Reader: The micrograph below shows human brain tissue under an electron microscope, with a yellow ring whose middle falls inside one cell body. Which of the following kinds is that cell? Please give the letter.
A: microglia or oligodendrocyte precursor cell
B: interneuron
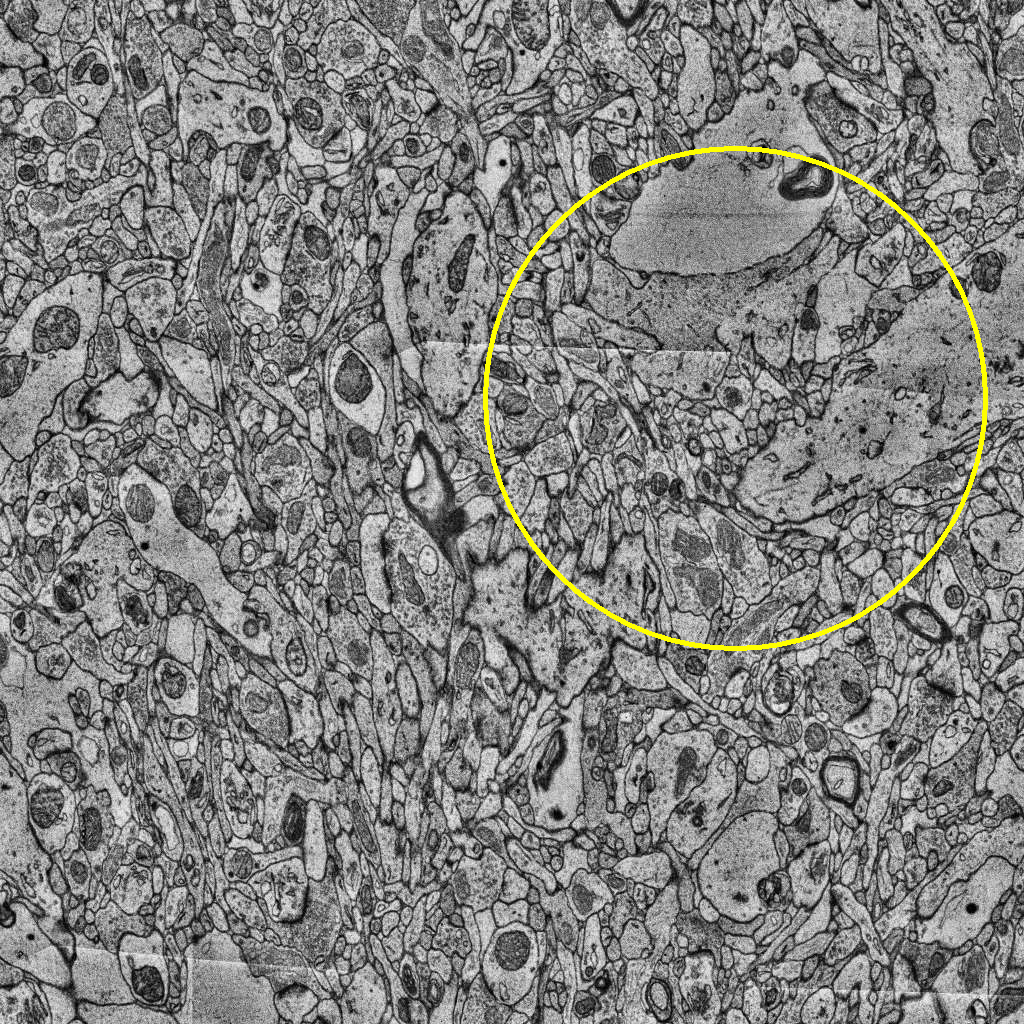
A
